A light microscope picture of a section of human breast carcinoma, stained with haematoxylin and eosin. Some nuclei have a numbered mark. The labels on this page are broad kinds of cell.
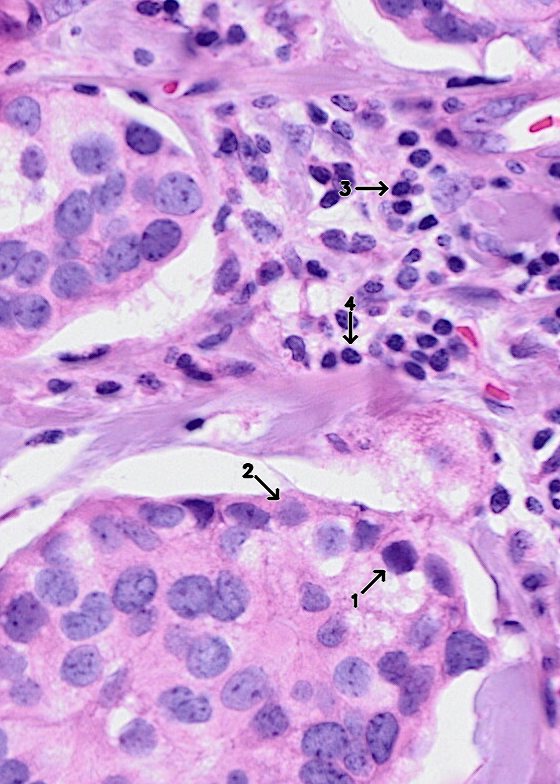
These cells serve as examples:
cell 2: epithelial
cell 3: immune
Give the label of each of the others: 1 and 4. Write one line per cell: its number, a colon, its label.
1: epithelial
4: immune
